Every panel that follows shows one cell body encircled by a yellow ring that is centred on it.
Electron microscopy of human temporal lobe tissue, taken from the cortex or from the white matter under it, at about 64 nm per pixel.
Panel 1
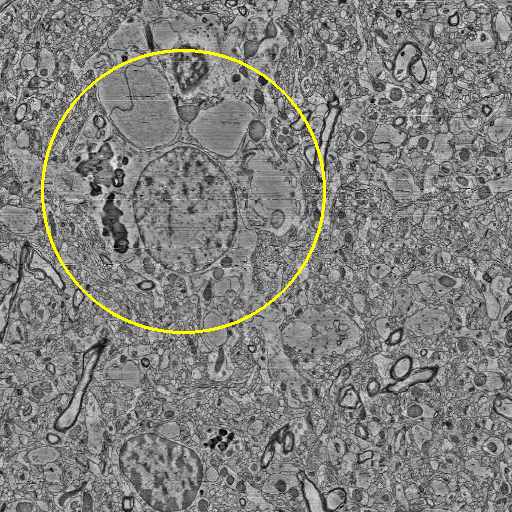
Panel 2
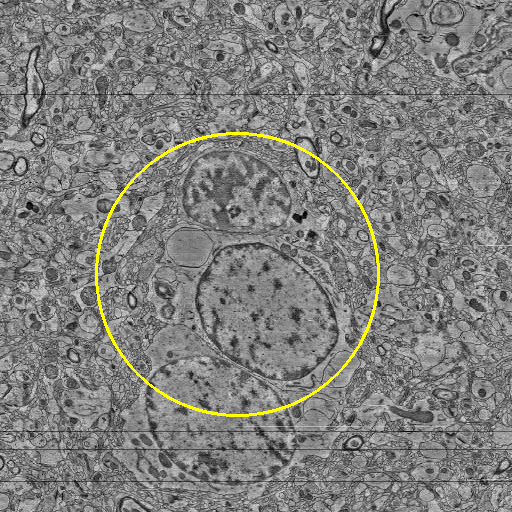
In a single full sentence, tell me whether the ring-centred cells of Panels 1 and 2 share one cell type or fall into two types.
In Panel 1 and Panel 2, the cells at the ring centres share one cell type.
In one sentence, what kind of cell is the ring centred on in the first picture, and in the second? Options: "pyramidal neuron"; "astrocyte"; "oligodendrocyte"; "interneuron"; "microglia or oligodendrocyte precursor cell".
Each of the two pictures has an astrocyte at the ring centre.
